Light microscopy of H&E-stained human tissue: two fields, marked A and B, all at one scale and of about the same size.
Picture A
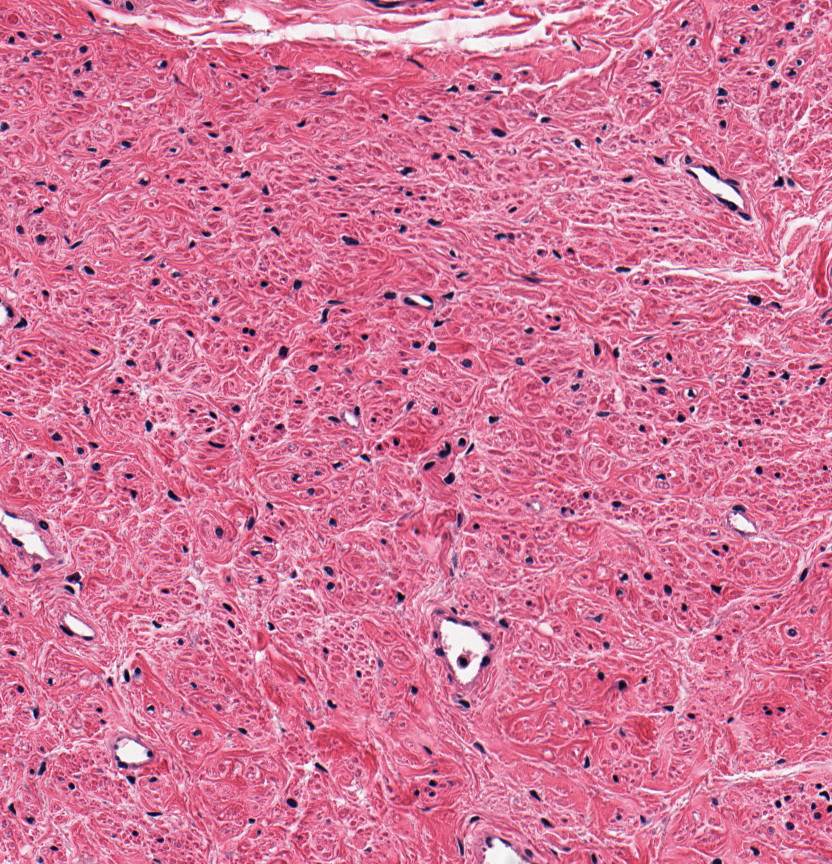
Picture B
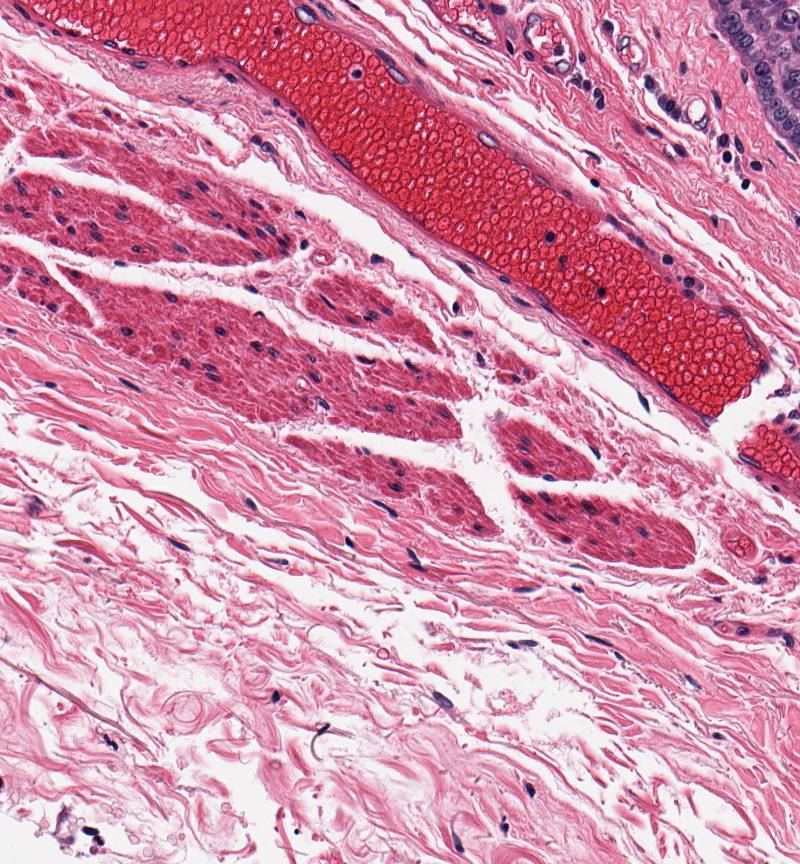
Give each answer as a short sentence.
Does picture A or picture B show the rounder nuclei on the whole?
On the whole the nuclei of picture A are rounder than those of picture B.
